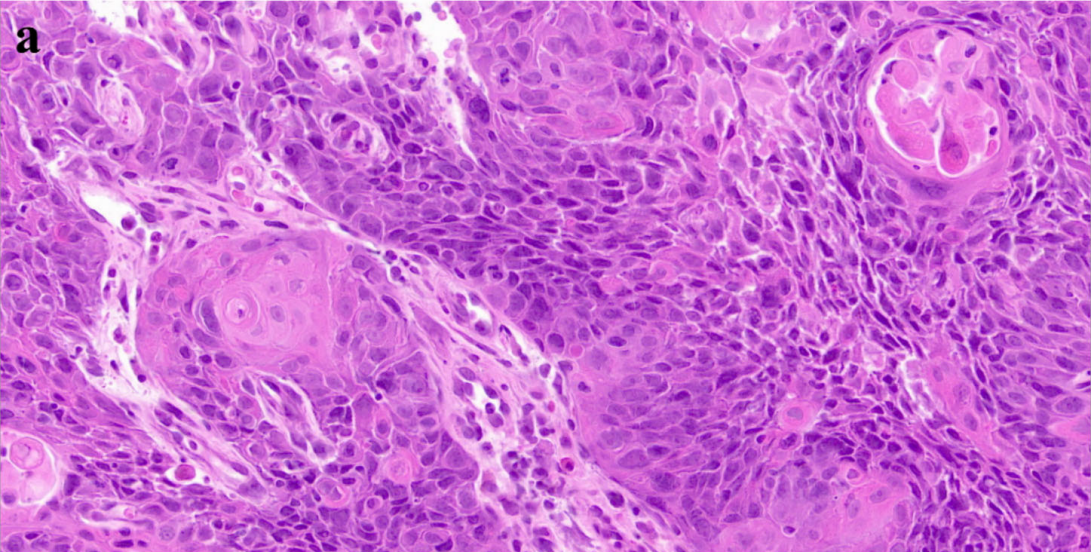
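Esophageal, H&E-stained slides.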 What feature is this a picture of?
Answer: Keratin Pearls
